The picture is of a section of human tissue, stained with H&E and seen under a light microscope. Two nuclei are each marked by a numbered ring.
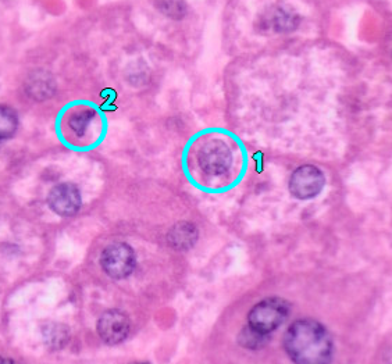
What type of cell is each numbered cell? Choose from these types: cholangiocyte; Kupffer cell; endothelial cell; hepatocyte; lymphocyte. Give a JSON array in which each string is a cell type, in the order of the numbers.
["hepatocyte", "endothelial cell"]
